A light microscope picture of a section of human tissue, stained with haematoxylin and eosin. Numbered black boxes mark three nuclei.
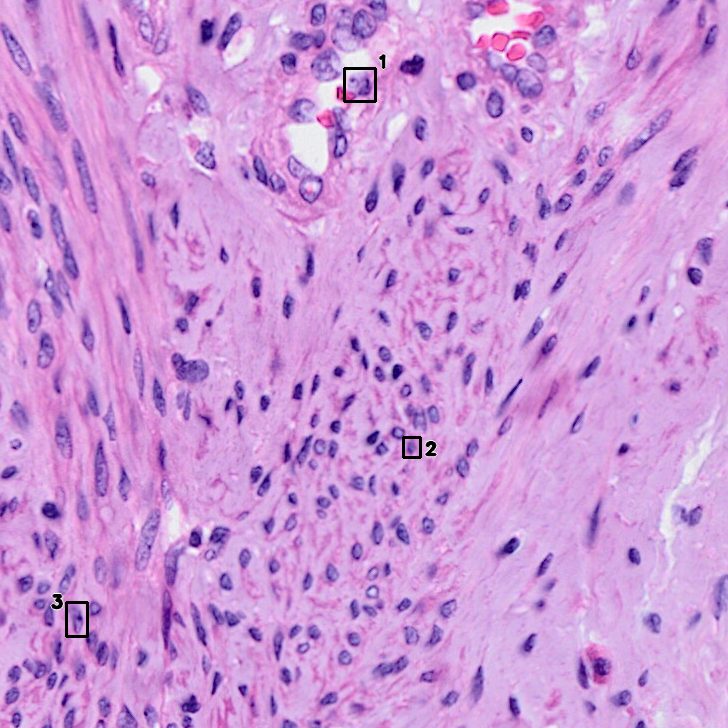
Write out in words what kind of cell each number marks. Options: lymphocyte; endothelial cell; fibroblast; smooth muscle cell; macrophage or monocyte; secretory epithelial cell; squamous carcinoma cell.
Cell 1 is an endothelial cell, cell 2 is a smooth muscle cell and cell 3 is a smooth muscle cell.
